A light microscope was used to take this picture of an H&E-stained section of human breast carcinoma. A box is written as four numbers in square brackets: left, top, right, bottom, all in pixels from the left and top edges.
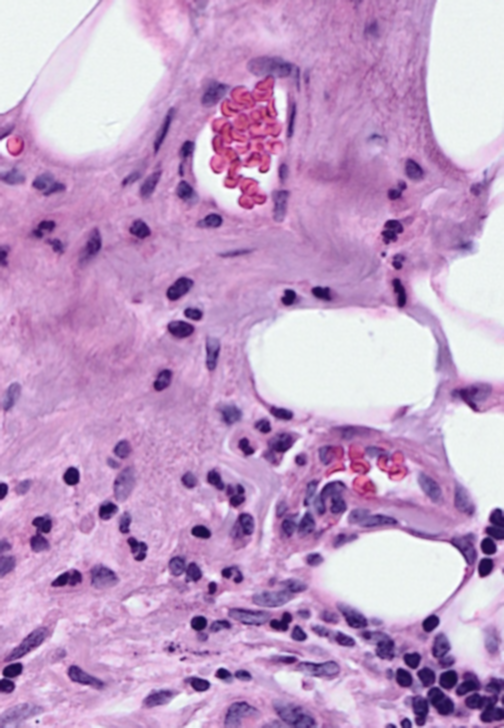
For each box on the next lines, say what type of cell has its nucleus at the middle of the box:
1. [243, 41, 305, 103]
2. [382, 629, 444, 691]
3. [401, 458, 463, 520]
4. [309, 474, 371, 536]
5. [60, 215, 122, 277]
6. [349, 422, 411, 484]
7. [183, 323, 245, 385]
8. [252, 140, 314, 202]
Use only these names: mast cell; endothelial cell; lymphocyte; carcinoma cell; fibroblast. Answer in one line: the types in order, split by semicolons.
endothelial cell; lymphocyte; endothelial cell; endothelial cell; fibroblast; endothelial cell; fibroblast; endothelial cell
